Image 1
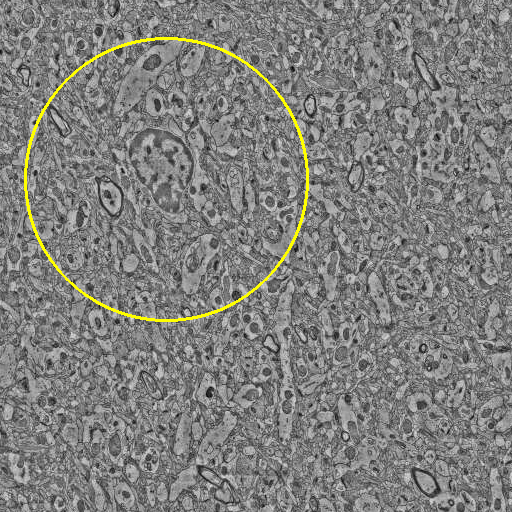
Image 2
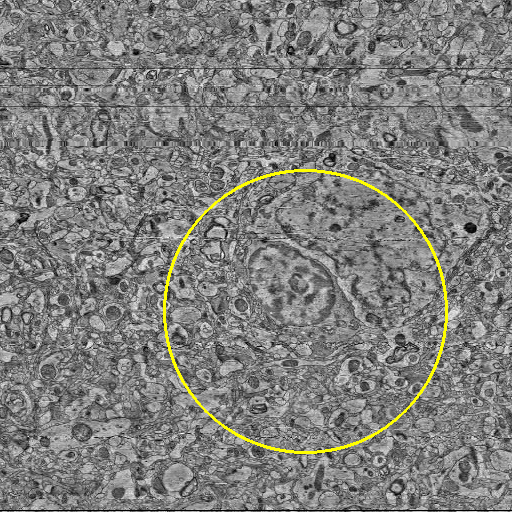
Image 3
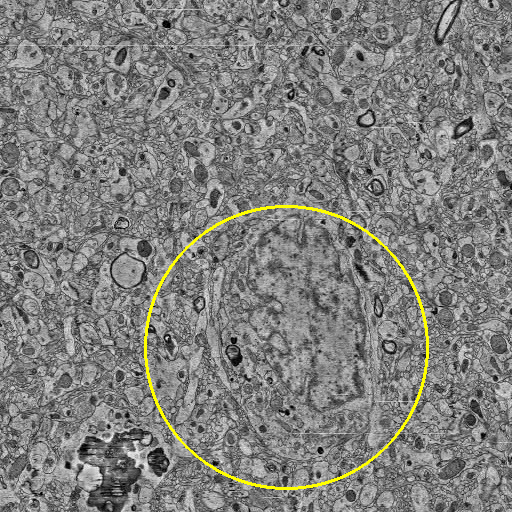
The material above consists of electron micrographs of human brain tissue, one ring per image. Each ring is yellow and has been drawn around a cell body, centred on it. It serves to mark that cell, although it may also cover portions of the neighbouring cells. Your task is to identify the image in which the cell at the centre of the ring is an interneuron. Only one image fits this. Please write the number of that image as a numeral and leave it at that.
3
